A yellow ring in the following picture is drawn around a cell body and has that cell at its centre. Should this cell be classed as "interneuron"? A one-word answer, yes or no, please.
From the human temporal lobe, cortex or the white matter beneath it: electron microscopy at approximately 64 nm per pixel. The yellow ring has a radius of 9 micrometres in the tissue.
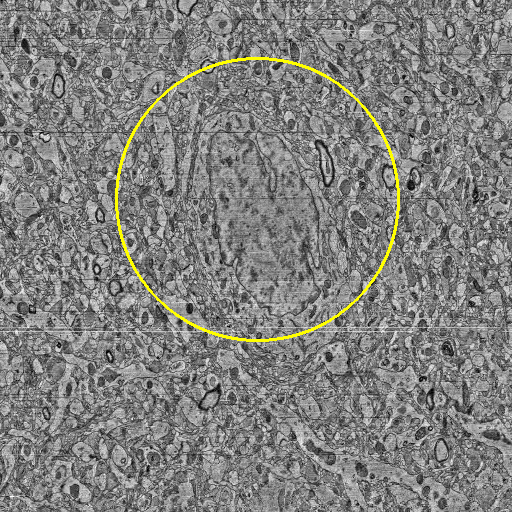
Yes, it is of that kind.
